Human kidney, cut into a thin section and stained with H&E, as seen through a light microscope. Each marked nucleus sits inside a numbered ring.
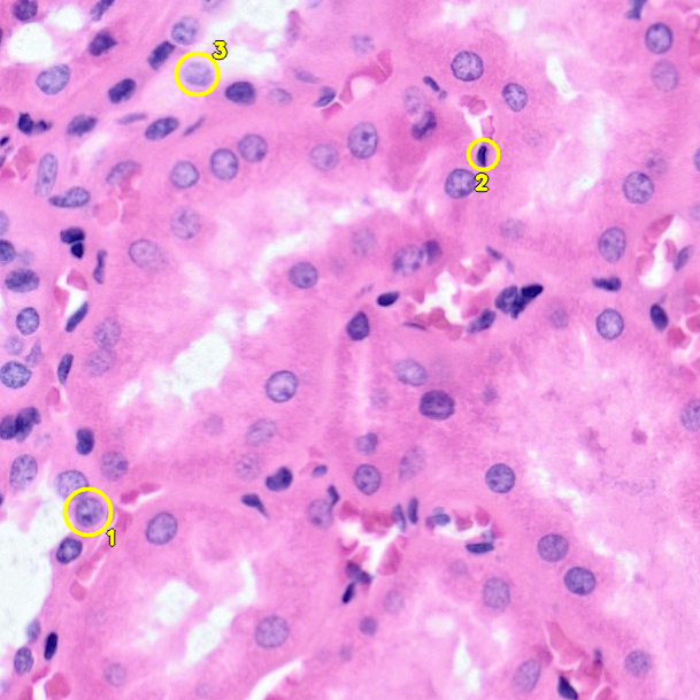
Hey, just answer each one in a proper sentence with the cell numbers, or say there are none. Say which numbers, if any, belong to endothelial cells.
Just the cell marked 2 is an endothelial cell; none of the other marked cells is.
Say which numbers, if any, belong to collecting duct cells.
Cell 3 is a collecting duct cell, whereas each of the other numbered cells is not.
